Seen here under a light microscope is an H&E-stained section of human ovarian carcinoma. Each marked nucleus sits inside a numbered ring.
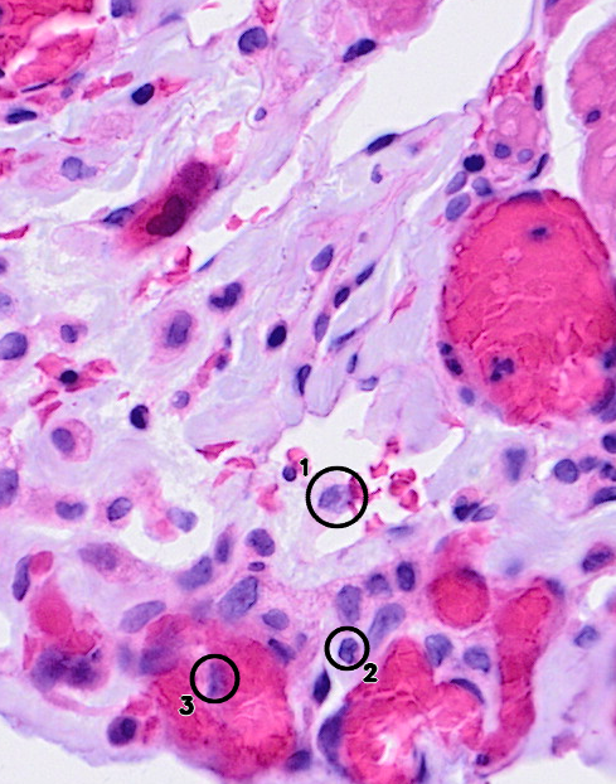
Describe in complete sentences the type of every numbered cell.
Cells 1 and 3 are endothelial cells. Cell 2 is a lymphocyte.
